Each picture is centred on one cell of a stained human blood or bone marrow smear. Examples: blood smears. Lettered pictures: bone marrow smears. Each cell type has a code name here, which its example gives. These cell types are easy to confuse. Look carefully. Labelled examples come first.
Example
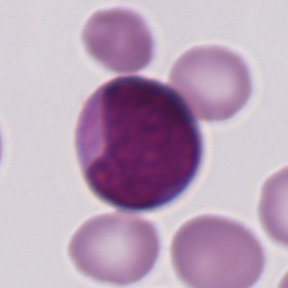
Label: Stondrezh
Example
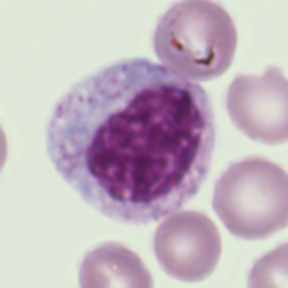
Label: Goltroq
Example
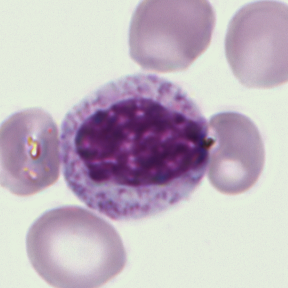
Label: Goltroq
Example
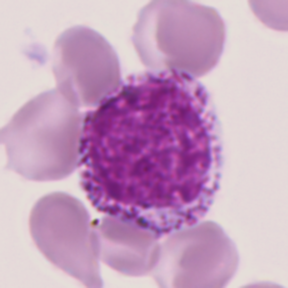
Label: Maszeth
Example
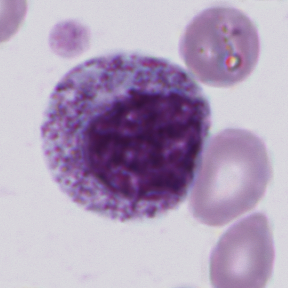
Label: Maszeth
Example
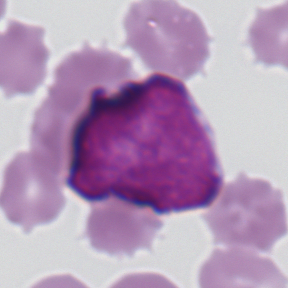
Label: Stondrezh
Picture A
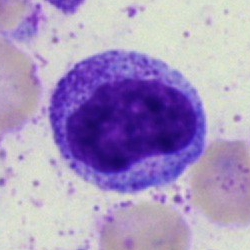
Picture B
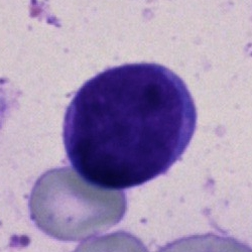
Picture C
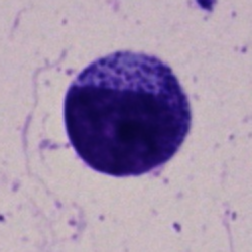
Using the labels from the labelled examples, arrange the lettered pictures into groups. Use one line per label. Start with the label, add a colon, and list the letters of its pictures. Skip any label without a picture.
Stondrezh: B
Goltroq: C
Maszeth: A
